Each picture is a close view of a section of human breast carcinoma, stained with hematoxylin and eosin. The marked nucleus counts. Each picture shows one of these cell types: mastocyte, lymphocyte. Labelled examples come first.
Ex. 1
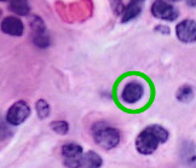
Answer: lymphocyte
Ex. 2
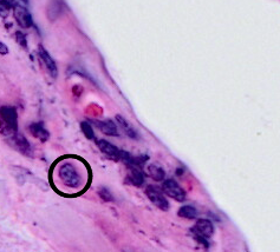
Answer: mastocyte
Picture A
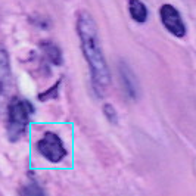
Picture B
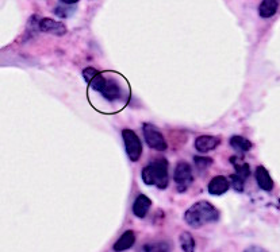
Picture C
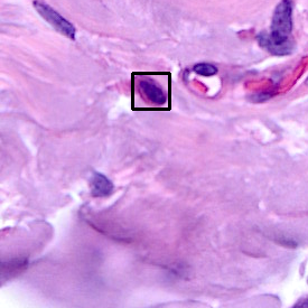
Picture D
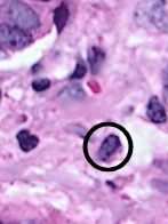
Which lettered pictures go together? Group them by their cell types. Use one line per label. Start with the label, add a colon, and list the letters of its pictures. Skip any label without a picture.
mastocyte: C, D
lymphocyte: A, B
